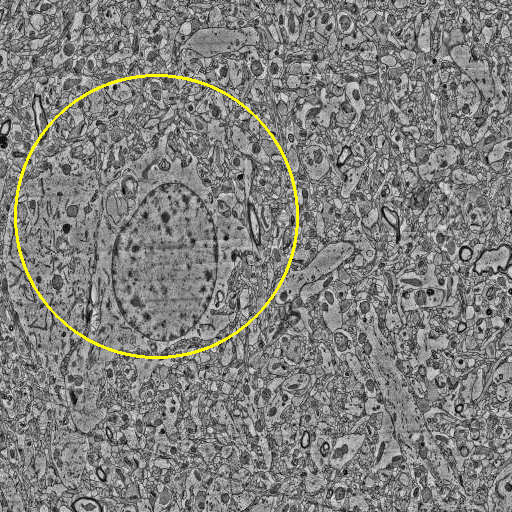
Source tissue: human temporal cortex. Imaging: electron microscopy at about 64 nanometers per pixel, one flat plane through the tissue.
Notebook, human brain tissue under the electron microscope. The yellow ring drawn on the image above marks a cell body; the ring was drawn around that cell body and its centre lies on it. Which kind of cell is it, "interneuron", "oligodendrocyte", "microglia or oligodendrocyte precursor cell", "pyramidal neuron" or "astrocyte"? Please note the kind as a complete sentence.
The marked cell body is that of an astrocyte.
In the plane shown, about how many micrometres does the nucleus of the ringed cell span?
The nucleus has a long axis of about 10 micrometres and a short axis of about 7 micrometres in this plane.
